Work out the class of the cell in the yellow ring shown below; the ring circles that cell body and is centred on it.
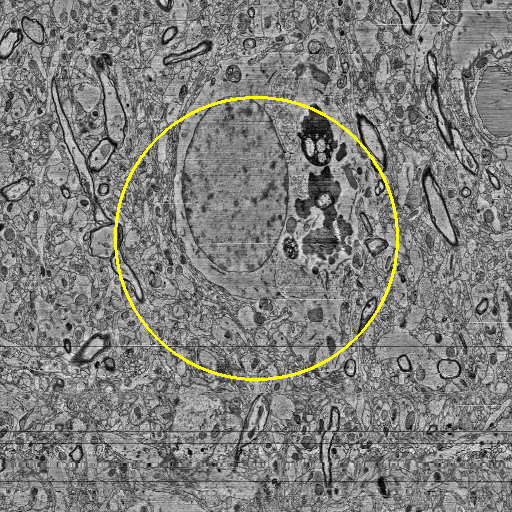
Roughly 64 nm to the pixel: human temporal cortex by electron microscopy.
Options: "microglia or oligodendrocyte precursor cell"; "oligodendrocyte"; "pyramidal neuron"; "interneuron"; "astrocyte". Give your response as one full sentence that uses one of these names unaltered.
The body ringed in yellow, right at the ring's centre, is that of an astrocyte.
